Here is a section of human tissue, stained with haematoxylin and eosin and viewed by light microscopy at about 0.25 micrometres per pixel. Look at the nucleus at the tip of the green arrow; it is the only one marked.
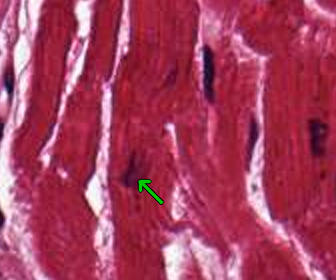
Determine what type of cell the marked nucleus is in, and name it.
cardiomyocyte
